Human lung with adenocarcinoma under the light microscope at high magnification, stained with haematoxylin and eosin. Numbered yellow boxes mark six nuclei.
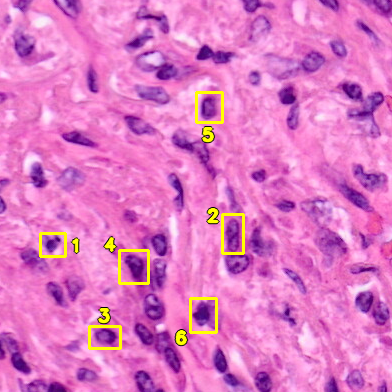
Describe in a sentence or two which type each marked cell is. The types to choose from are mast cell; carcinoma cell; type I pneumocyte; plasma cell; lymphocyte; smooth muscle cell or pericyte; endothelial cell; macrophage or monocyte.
Cell 1 is a lymphocyte, cell 2 is a plasma cell, cell 3 is a plasma cell, cell 4 is a plasma cell, cell 5 is a plasma cell and cell 6 is a lymphocyte.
